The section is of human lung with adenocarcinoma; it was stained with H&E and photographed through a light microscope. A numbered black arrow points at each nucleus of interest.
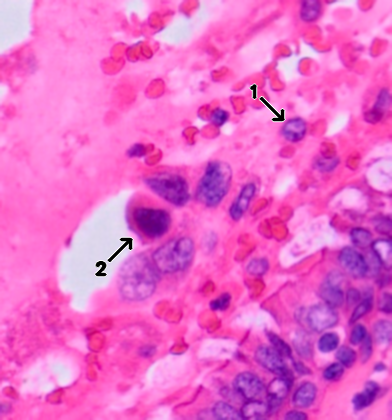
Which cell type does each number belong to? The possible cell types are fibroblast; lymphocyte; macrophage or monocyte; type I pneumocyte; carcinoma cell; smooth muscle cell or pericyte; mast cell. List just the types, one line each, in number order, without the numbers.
macrophage or monocyte
carcinoma cell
